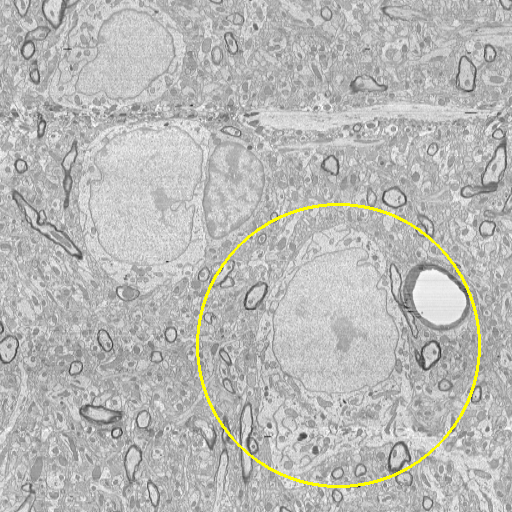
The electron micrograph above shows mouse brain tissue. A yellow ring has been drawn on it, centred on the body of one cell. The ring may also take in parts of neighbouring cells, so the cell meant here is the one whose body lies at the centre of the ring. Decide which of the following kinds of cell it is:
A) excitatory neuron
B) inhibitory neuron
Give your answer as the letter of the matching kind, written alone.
B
